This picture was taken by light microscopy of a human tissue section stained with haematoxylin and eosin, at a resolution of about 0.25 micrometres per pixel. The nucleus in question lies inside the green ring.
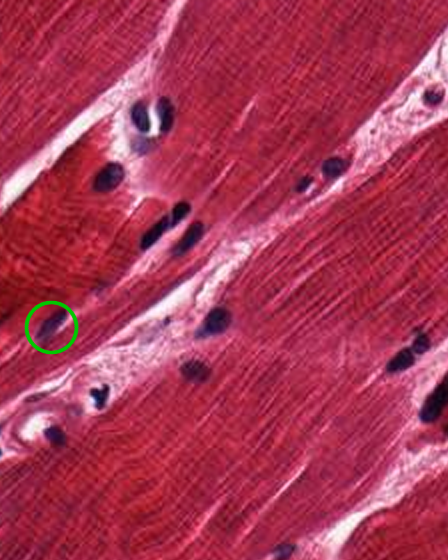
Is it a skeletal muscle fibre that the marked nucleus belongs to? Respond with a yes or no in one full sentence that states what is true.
Yes, the marked nucleus is that of a skeletal muscle fibre.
